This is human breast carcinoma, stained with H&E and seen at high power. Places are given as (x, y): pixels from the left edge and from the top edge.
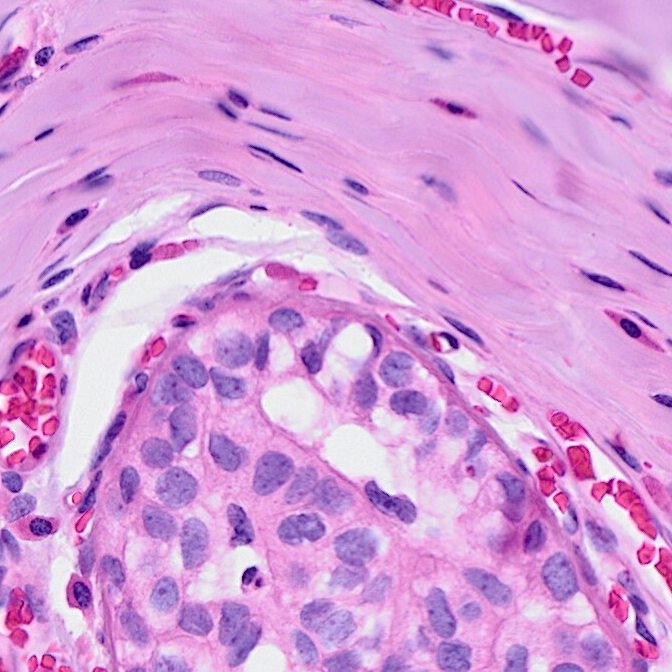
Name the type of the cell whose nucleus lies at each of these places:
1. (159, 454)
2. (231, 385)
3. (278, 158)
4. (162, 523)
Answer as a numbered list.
1. carcinoma cell
2. carcinoma cell
3. fibroblast
4. carcinoma cell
